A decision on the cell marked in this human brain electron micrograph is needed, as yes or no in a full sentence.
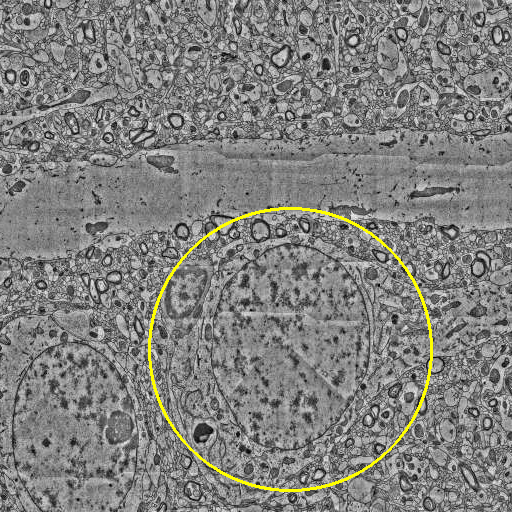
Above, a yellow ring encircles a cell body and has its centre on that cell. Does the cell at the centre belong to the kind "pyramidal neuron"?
Yes, the kind given fits the cell at the centre of the ring in the picture.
